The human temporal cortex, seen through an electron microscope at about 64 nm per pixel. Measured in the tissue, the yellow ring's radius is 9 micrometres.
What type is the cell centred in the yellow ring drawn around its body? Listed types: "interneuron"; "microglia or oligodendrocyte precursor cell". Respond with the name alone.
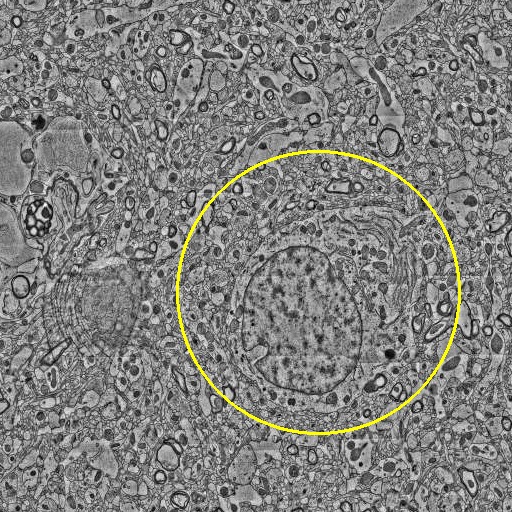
interneuron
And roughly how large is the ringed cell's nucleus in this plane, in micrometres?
In this plane, about 9 micrometres in length and 8 in width.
